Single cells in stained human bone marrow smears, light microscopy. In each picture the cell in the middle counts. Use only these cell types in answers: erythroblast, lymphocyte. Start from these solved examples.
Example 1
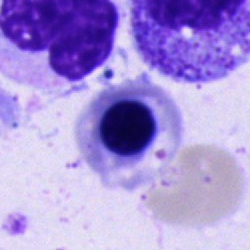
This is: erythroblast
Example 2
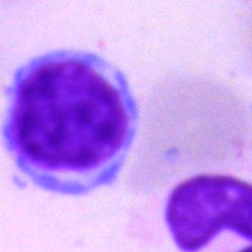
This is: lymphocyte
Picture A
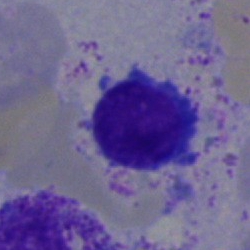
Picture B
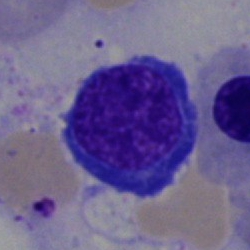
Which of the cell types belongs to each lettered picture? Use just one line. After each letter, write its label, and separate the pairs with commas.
A lymphocyte, B erythroblast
